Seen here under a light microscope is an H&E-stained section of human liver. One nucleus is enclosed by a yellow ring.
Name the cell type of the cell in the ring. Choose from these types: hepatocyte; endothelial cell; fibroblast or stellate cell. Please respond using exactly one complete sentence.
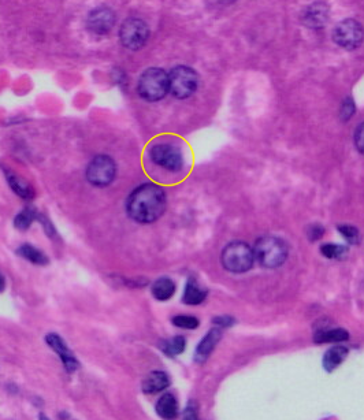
At the level of cell identity, the cell in the ring is a fibroblast or stellate cell.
